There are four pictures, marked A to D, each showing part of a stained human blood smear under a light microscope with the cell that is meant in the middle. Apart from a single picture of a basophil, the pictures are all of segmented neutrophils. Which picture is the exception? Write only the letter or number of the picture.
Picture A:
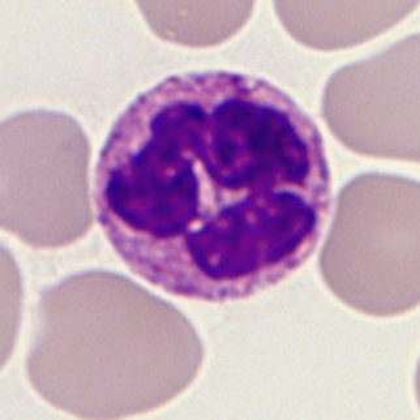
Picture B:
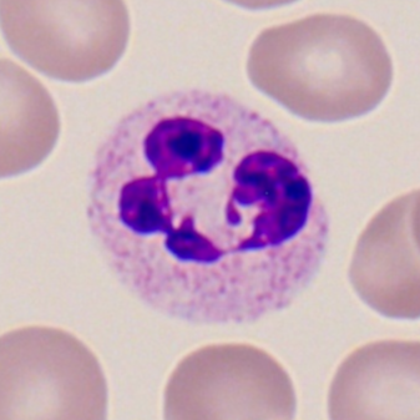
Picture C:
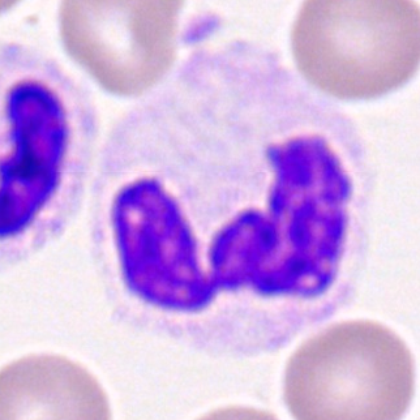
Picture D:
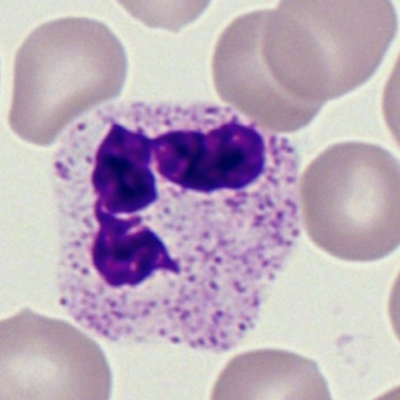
A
